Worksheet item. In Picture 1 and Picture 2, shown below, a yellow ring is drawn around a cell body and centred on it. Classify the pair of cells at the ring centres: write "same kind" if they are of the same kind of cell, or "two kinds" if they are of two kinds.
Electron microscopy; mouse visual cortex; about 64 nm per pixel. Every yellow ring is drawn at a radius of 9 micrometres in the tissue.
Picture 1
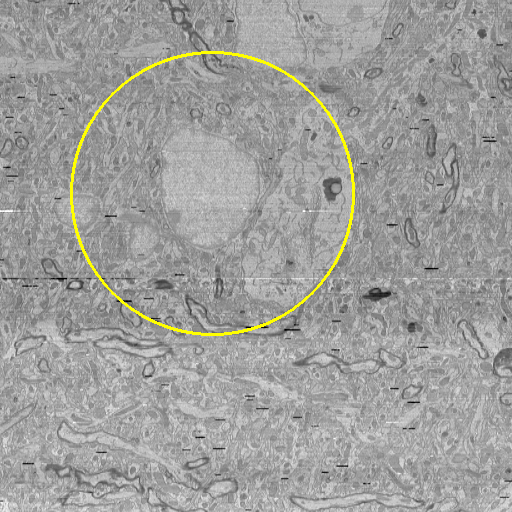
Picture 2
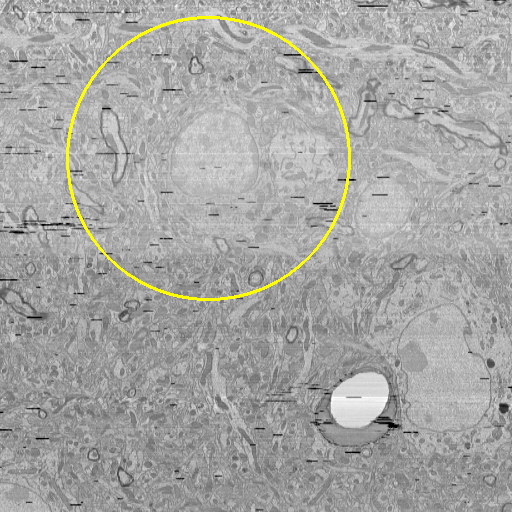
two kinds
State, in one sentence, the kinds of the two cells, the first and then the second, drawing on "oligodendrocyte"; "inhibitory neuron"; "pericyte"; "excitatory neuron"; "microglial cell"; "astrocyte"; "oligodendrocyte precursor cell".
The ring in the second picture is centred on an oligodendrocyte, the ring in the first on an astrocyte.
